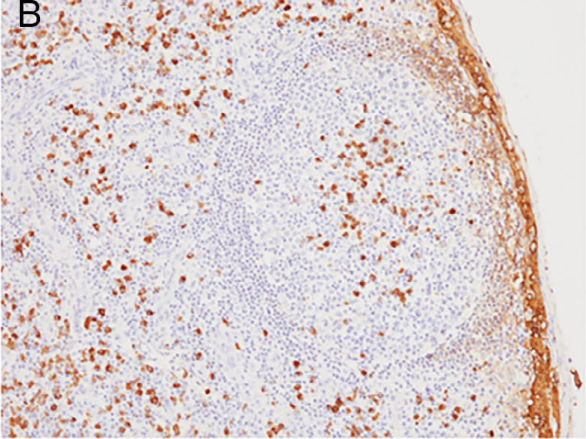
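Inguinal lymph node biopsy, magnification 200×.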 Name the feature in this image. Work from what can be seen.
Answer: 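A rounded paler zone of densely packed small blue cells in the centre. Capsule-like brown-lined rim along the right edge. Small round lymphocytes fill most of the field.
Conclusion: lymphoid follicles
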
